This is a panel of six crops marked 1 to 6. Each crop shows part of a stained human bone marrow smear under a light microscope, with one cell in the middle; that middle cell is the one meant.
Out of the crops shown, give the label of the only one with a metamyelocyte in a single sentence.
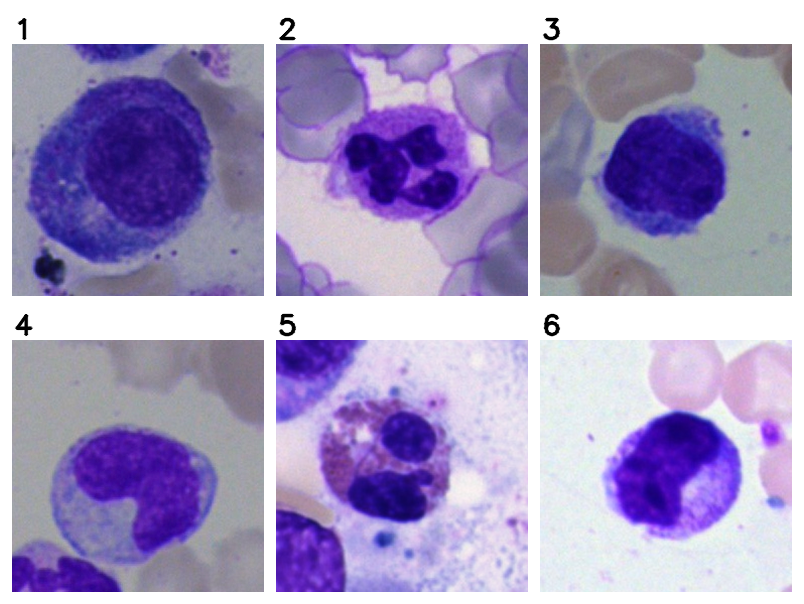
As for which crop shows a metamyelocyte, it is crop 6.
